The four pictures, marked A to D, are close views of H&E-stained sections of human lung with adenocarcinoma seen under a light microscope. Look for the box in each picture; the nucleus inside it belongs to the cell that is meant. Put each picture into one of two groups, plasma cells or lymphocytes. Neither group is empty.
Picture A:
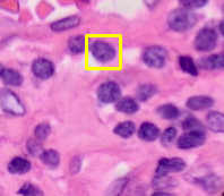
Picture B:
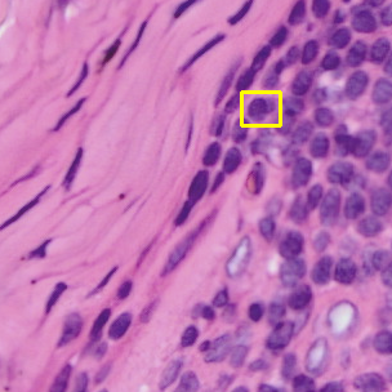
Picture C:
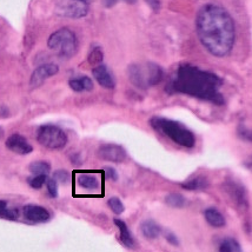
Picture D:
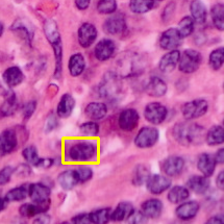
A: lymphocyte
B: lymphocyte
C: lymphocyte
D: plasma cell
